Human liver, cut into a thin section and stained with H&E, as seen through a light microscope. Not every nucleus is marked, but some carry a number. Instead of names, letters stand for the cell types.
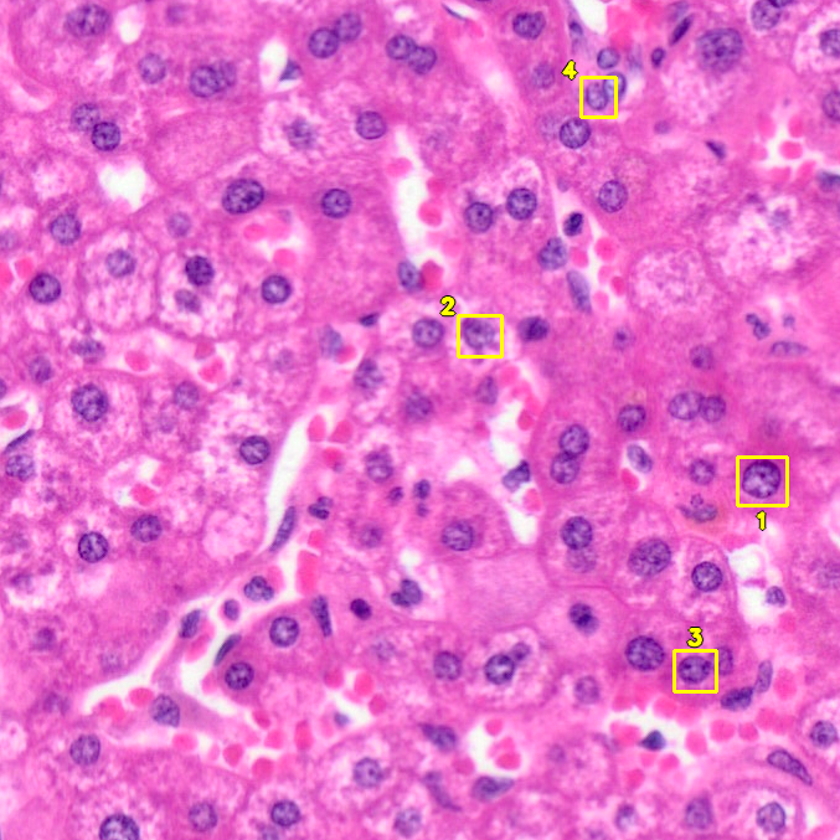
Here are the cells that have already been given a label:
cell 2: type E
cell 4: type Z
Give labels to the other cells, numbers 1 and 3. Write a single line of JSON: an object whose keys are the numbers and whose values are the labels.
{"1": "type E", "3": "type E"}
